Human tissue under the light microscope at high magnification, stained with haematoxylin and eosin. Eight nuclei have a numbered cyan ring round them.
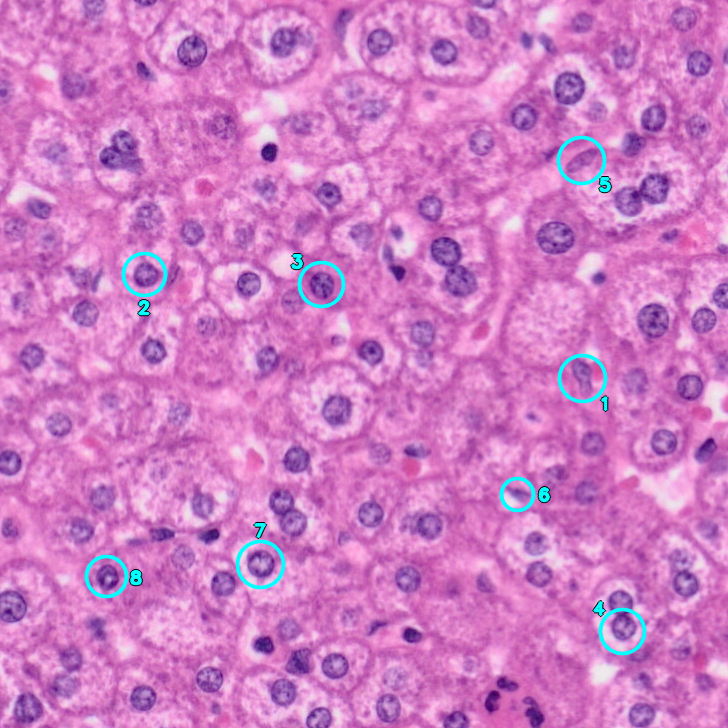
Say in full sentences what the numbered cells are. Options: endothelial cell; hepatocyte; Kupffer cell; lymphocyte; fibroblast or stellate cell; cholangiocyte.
Cells 1 and 5 are Kupffer cells. Cells 2, 3, 4, 7 and 8 are hepatocytes. Cell 6 is an endothelial cell.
